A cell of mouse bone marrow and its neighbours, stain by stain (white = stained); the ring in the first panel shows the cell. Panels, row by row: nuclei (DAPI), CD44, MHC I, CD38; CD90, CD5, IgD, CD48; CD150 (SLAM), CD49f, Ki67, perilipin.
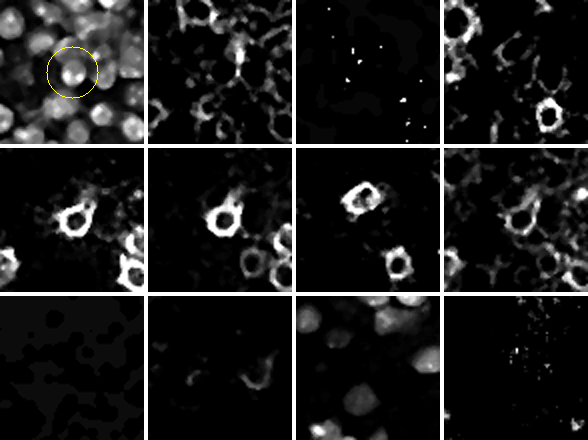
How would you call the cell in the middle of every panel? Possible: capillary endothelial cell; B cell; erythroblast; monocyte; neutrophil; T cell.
I would call it a T cell.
